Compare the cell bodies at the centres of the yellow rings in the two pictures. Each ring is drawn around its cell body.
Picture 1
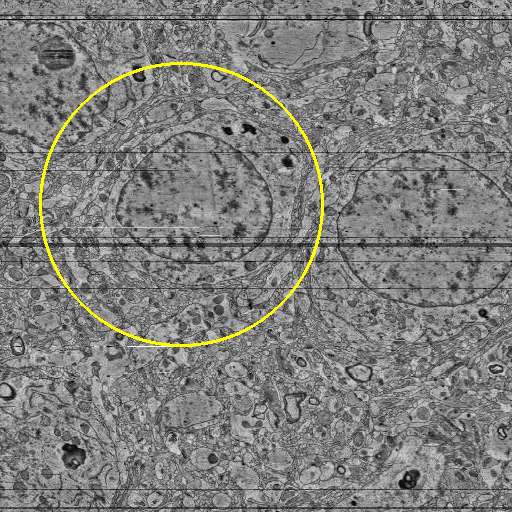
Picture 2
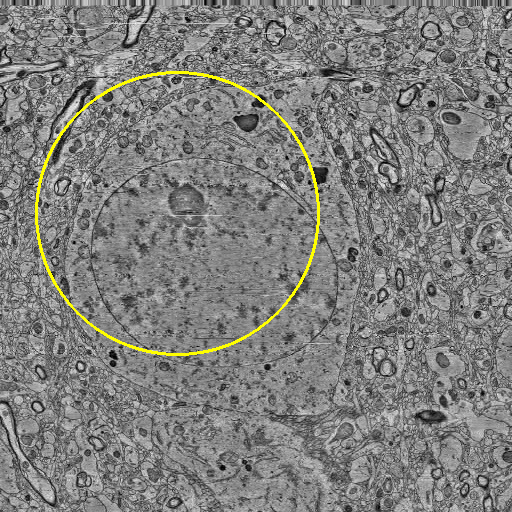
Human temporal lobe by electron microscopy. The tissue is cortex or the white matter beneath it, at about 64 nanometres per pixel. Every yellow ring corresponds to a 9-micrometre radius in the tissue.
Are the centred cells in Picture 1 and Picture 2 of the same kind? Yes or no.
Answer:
yes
